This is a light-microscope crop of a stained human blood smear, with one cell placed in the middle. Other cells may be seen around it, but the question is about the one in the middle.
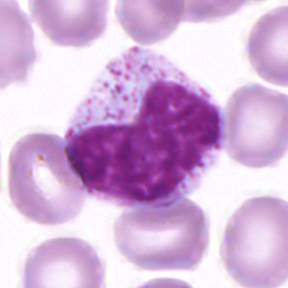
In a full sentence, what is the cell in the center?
This crop has a metamyelocyte at its centre.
